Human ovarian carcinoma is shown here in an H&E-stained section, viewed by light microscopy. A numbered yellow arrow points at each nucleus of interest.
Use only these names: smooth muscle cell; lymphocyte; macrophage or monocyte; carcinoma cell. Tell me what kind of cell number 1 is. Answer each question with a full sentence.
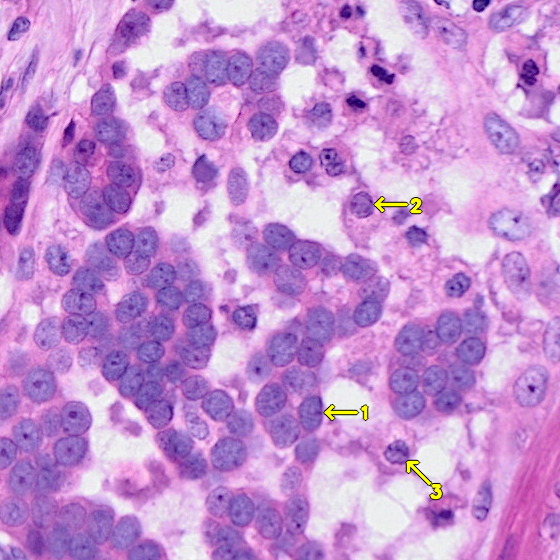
The cell assigned the number 1 is a carcinoma cell.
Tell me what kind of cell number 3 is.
The cell to which the number 3 is assigned is a macrophage or monocyte.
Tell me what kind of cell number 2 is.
The marked nucleus 2 is that of a macrophage or monocyte.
